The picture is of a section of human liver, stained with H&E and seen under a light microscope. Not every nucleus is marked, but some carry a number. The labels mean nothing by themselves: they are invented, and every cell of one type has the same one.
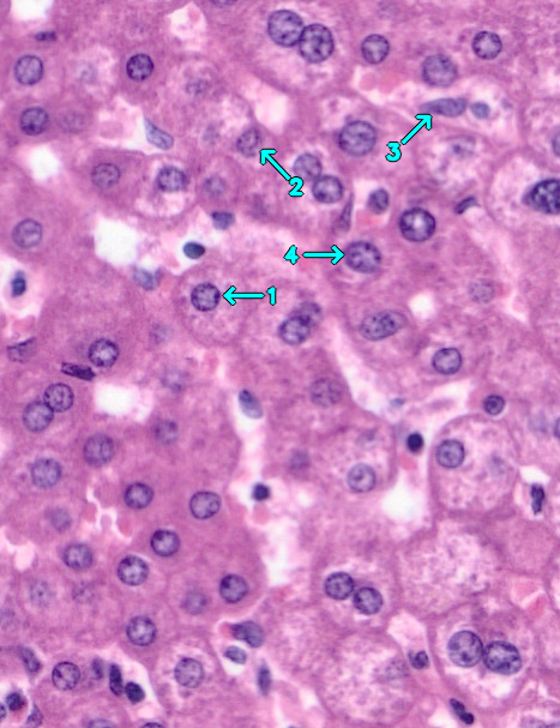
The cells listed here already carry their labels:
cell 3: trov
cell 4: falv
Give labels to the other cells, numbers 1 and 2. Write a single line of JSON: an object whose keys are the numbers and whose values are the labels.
{"1": "falv", "2": "falv"}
